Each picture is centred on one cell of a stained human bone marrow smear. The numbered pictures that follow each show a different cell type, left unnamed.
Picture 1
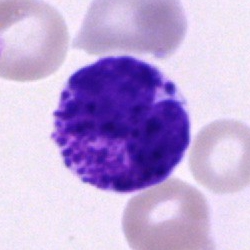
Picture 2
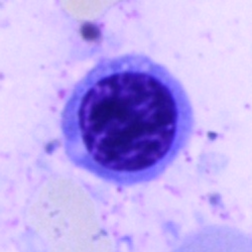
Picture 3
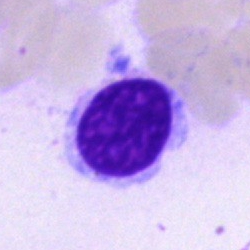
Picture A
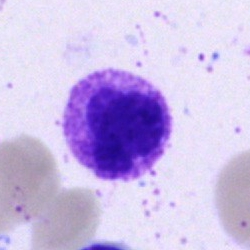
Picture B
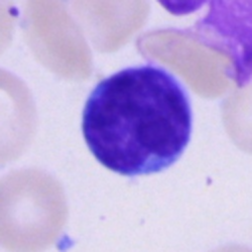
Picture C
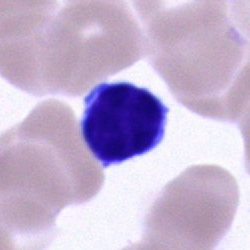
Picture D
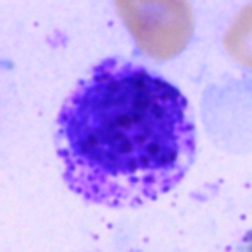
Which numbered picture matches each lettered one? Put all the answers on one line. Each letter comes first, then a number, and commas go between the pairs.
A 1, B 3, C 3, D 1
